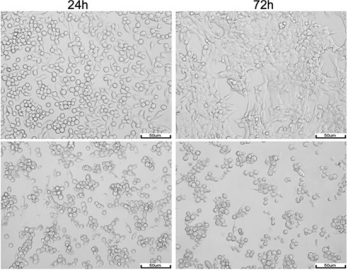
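In the upper images the cells lie densely packed, many round and refractile, with some spindle-shaped cells among them. In the lower images the cells are fewer, with more open space between them, and many are small and rounded.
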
